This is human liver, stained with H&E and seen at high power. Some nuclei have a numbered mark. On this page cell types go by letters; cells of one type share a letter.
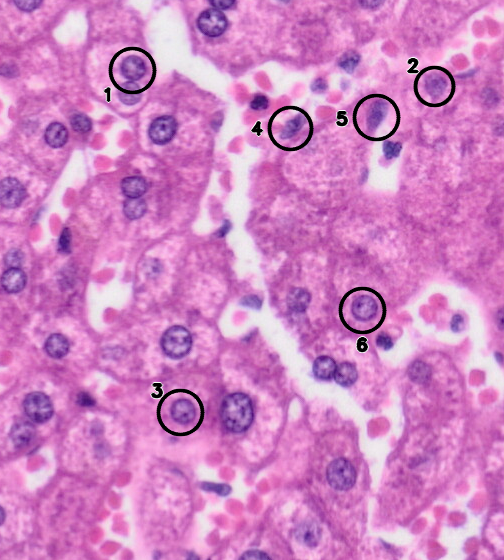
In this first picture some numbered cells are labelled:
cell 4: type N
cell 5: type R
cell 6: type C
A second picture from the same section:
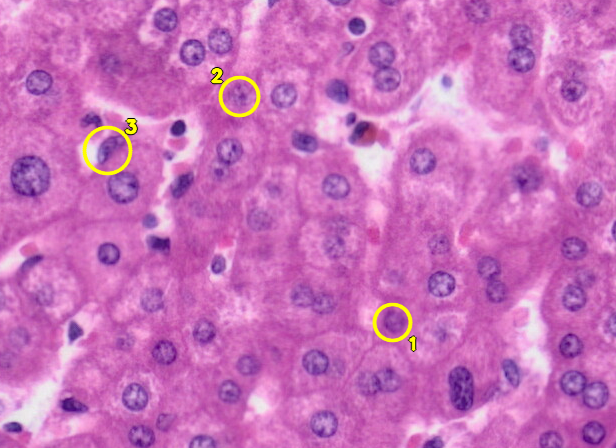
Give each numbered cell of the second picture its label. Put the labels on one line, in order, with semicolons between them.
type C; type C; type N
